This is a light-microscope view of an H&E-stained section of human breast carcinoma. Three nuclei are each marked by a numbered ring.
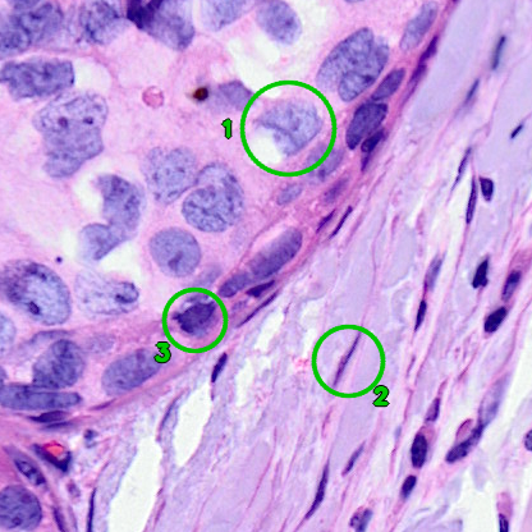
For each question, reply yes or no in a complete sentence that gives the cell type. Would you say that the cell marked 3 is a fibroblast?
No, the cell given number 3 is a carcinoma cell, not a fibroblast.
